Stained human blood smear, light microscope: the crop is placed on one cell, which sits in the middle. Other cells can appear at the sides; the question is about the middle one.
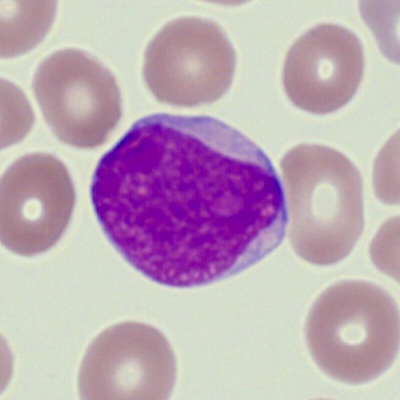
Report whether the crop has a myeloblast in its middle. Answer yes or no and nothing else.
yes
